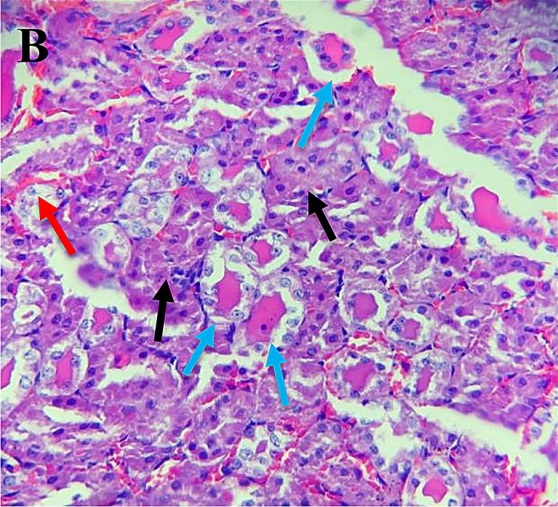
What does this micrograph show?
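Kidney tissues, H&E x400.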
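Renal cortex with tubules lined by epithelial cells, many of which are enlarged with deeply pink cytoplasm and round central nuclei. Numerous tubular lumens are filled with homogeneous bright pink casts. Red blood cells lie scattered in the interstitium between the tubules.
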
